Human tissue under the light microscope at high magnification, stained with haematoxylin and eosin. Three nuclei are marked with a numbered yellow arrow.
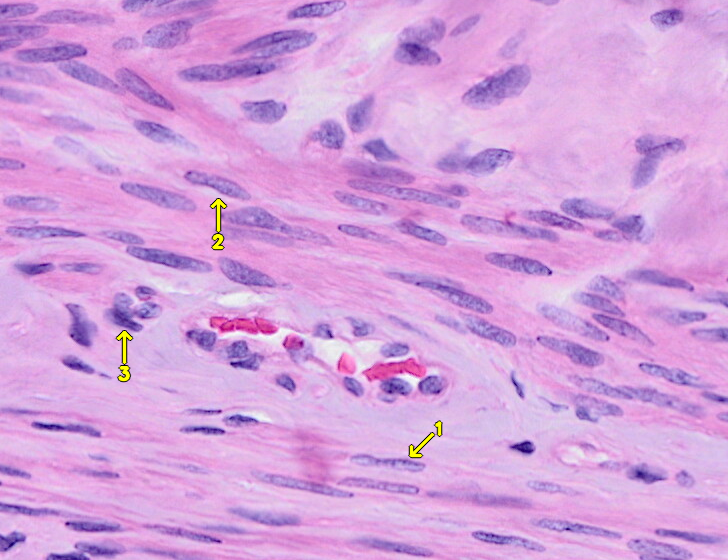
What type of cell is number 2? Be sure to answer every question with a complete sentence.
Cell 2, as marked in the section, is a smooth muscle cell.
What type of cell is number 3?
The nucleus marked 3 is the nucleus of a fibroblast.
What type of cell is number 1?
The expected answer is that cell 1 is a smooth muscle cell.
